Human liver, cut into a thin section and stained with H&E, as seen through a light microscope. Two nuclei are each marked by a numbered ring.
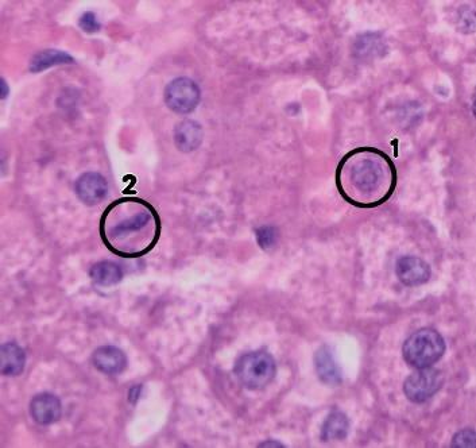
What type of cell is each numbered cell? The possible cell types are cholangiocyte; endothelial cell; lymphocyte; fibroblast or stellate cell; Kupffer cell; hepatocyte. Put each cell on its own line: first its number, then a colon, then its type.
1: hepatocyte
2: fibroblast or stellate cell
